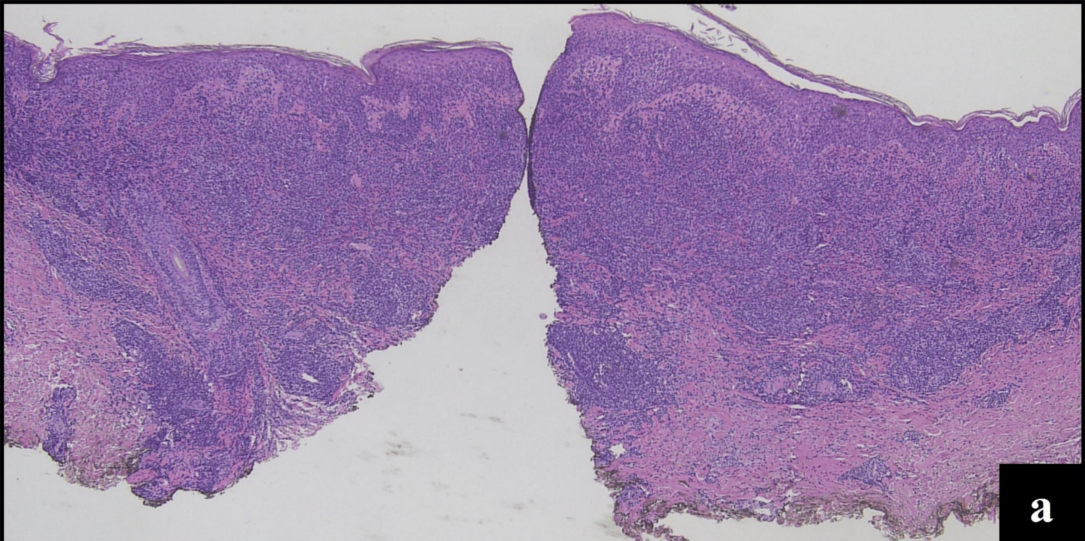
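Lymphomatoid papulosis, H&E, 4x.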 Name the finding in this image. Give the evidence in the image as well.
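Wedge-shaped infiltrate of atypical lymphocytes. A dense purple cellular infiltrate fills the upper dermis beneath the epidermis. The infiltrate extends downward into the deeper dermis in tapering bands. Paler pink collagen surrounds the infiltrate at its lower edges.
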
